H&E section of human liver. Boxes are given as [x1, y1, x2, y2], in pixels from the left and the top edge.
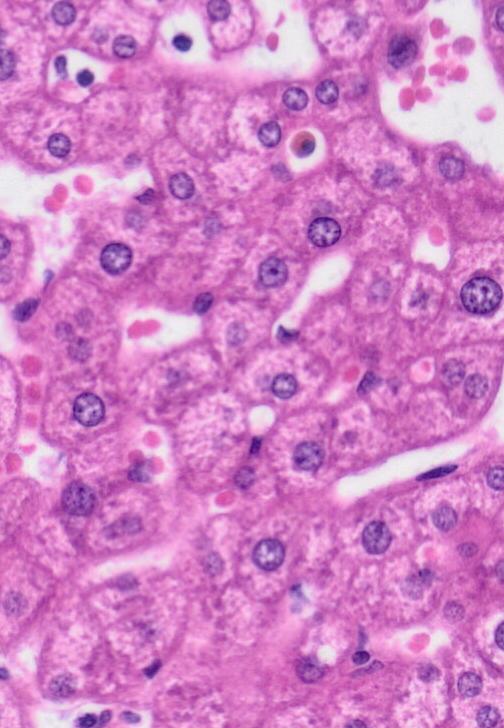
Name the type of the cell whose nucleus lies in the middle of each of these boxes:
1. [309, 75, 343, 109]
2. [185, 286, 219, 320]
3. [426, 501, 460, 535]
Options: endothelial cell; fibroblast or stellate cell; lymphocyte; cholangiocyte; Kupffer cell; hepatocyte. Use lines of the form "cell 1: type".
cell 1: hepatocyte
cell 2: fibroblast or stellate cell
cell 3: hepatocyte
